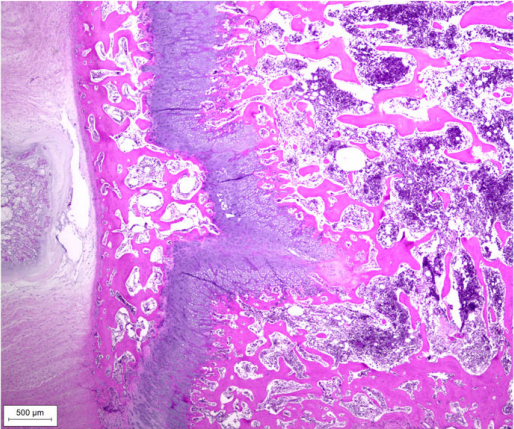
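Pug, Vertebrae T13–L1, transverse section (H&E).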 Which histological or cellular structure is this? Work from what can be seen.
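A broad purple-blue cartilage band lies between pink bone. Irregular extensions of the purple cartilage reach into the pink trabecular bone. The answer: tongue‐like projections of cartilage.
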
